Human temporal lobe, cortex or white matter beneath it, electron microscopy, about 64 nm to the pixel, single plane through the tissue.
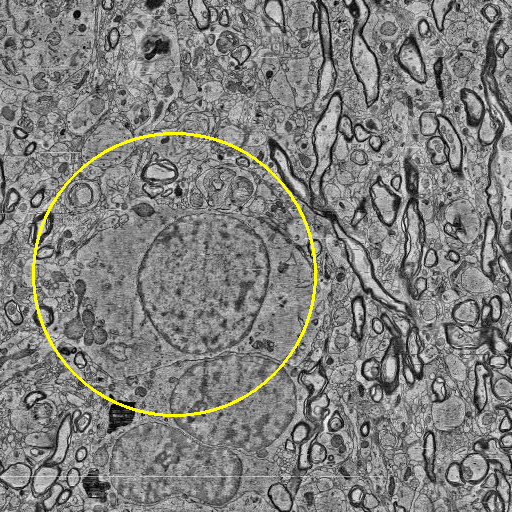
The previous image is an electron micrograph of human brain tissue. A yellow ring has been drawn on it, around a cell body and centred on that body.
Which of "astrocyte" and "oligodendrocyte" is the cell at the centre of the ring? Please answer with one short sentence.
The cell body at the centre of the ring belongs to an astrocyte.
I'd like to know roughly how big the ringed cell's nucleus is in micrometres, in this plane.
The nucleus appears roughly 10 by 8 micrometres in this plane.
